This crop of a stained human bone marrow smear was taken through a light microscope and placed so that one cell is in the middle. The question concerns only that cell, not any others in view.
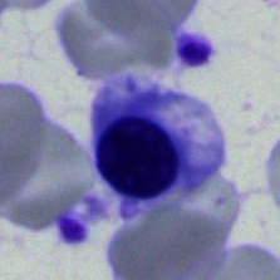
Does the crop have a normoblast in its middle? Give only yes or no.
yes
